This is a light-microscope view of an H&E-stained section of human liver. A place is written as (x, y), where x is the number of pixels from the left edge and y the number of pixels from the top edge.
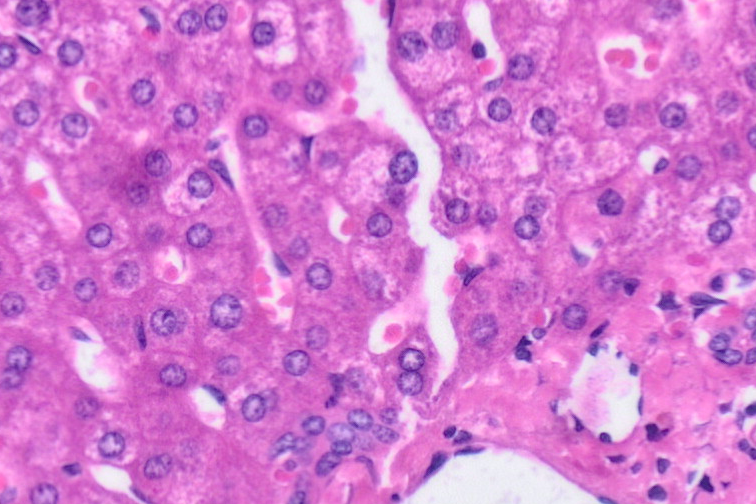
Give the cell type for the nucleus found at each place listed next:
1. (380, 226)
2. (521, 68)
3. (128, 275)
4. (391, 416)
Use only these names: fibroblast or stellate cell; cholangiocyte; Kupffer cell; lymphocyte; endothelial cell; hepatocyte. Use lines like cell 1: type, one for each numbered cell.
cell 1: hepatocyte
cell 2: hepatocyte
cell 3: hepatocyte
cell 4: cholangiocyte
